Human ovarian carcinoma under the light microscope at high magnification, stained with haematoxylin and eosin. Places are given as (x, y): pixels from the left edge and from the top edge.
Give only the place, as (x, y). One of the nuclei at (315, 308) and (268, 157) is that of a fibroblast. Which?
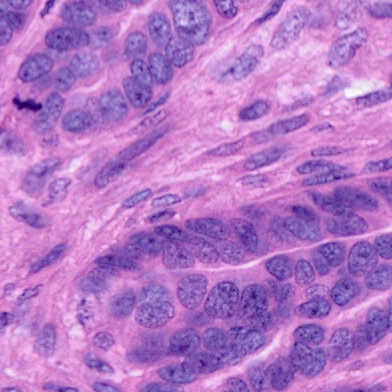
(268, 157)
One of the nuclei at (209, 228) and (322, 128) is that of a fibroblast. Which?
(322, 128)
